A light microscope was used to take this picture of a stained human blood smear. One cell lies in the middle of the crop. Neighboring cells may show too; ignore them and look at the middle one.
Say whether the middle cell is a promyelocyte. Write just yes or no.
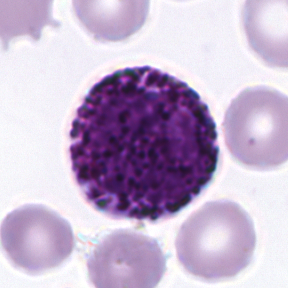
no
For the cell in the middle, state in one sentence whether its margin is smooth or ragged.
Nothing juts out from the margin, which is smooth throughout.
